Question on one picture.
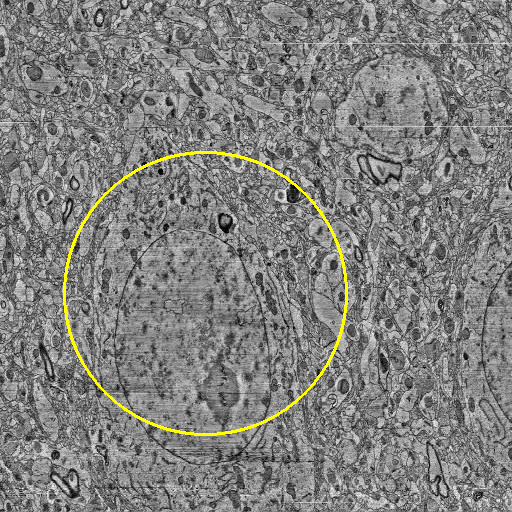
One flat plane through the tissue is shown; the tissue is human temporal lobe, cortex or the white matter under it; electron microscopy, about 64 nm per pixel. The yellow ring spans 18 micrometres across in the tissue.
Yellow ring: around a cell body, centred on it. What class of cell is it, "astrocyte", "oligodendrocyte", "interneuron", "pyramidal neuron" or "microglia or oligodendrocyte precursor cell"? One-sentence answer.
This is a pyramidal neuron, the cell the ring is centred on.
